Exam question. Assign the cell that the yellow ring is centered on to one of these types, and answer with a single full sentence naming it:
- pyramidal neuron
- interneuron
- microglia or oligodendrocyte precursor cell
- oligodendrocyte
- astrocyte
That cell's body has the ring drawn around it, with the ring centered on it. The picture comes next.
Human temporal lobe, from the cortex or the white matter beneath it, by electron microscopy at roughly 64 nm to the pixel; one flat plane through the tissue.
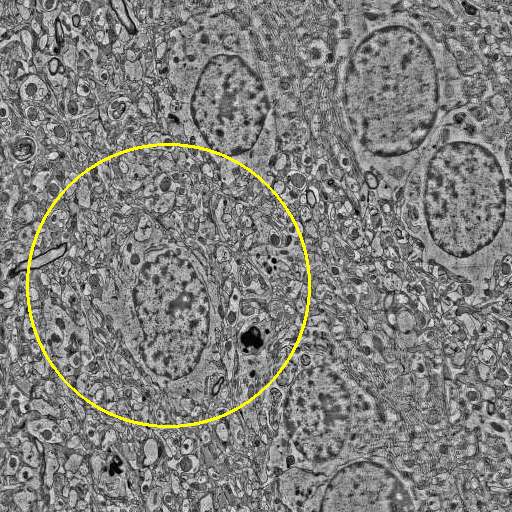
In the micrograph, the cell the yellow ring is centered on is an astrocyte.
